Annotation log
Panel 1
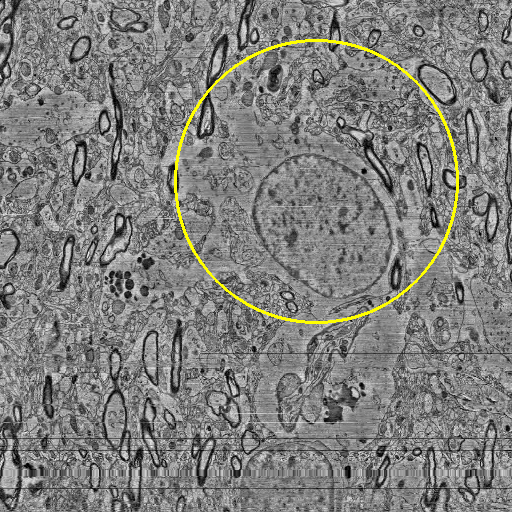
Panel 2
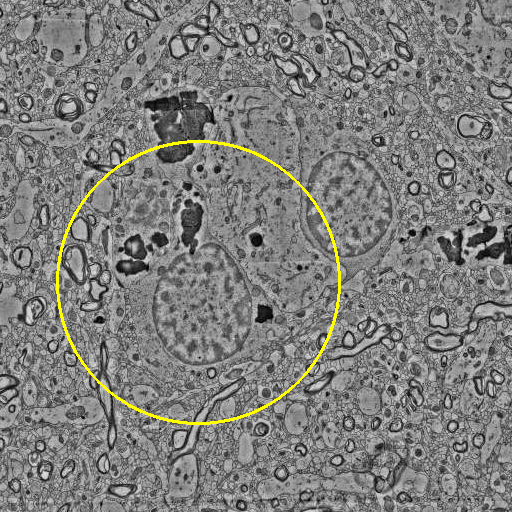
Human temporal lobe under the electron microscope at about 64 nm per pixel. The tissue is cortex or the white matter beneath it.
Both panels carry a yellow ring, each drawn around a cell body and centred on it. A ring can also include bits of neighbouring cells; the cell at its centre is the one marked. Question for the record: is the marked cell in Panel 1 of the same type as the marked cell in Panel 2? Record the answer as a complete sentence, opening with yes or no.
No, the marked cells in Panel 1 and Panel 2 are of two types.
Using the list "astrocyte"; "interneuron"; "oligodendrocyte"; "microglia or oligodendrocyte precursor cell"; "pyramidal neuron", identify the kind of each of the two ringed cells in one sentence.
The first is an astrocyte and the second is an oligodendrocyte.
